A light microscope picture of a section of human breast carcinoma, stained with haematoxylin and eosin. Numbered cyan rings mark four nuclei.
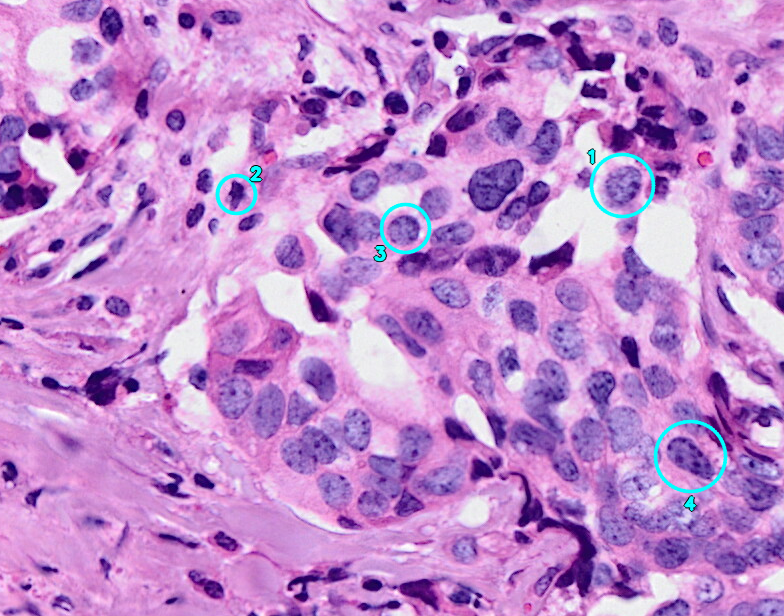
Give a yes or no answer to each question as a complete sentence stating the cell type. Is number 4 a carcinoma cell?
Yes, looking at number 4, that cell is a carcinoma cell.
